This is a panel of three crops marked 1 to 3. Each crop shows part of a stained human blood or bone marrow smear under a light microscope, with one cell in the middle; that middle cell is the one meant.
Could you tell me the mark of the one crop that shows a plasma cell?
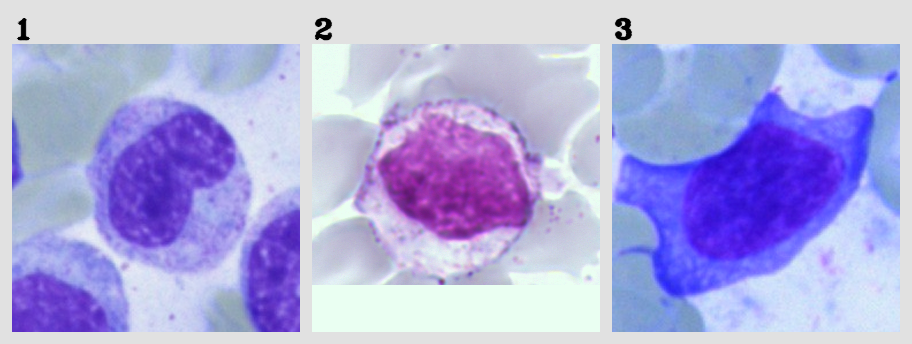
3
